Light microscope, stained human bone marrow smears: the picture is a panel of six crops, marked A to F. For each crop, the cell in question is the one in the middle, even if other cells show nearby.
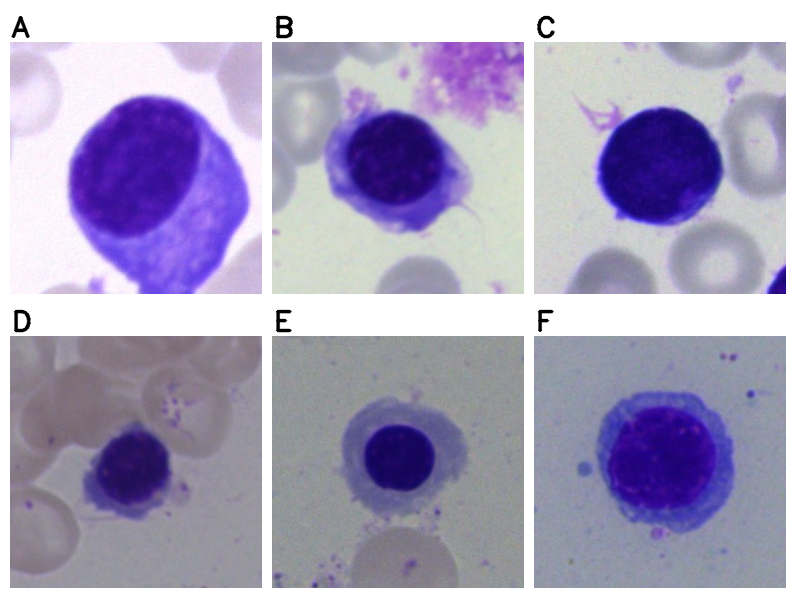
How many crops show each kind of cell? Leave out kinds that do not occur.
erythroblast: 4
plasma cell: 1
blast: 1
